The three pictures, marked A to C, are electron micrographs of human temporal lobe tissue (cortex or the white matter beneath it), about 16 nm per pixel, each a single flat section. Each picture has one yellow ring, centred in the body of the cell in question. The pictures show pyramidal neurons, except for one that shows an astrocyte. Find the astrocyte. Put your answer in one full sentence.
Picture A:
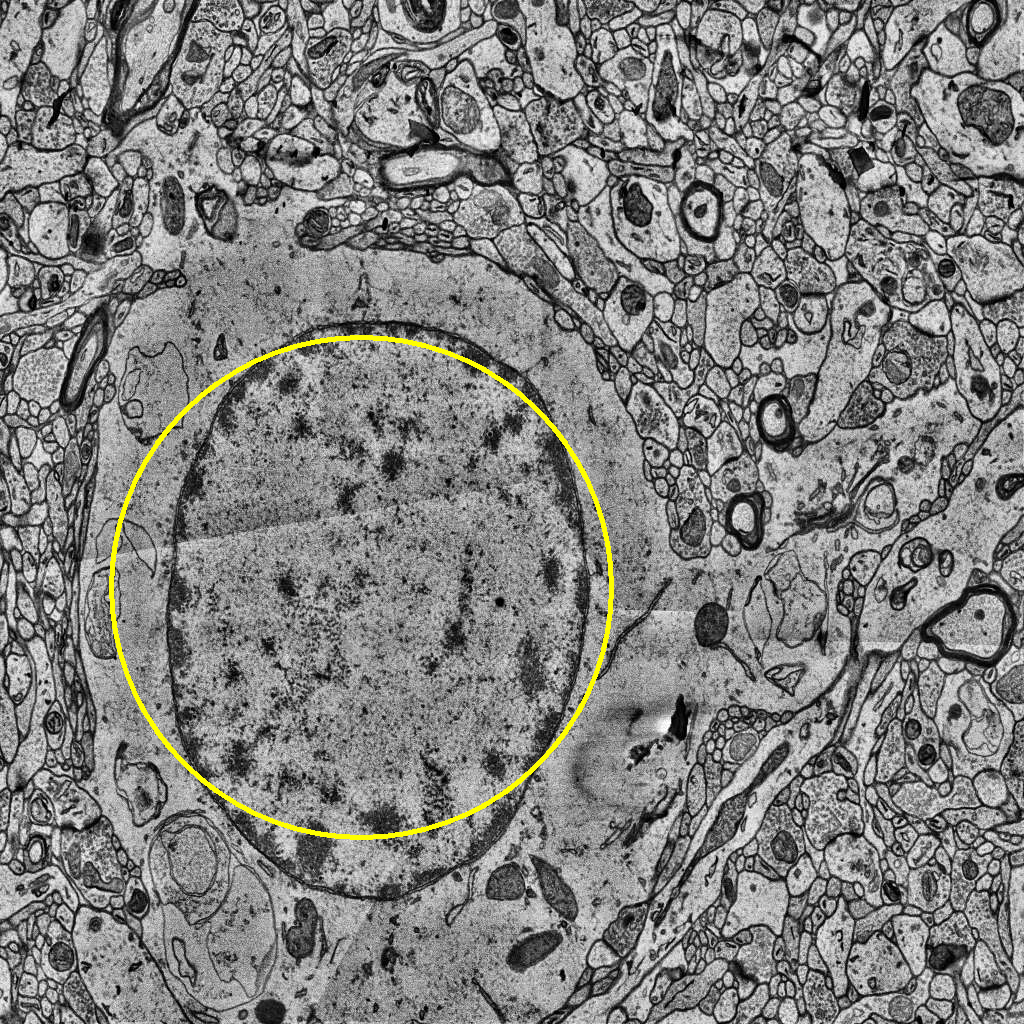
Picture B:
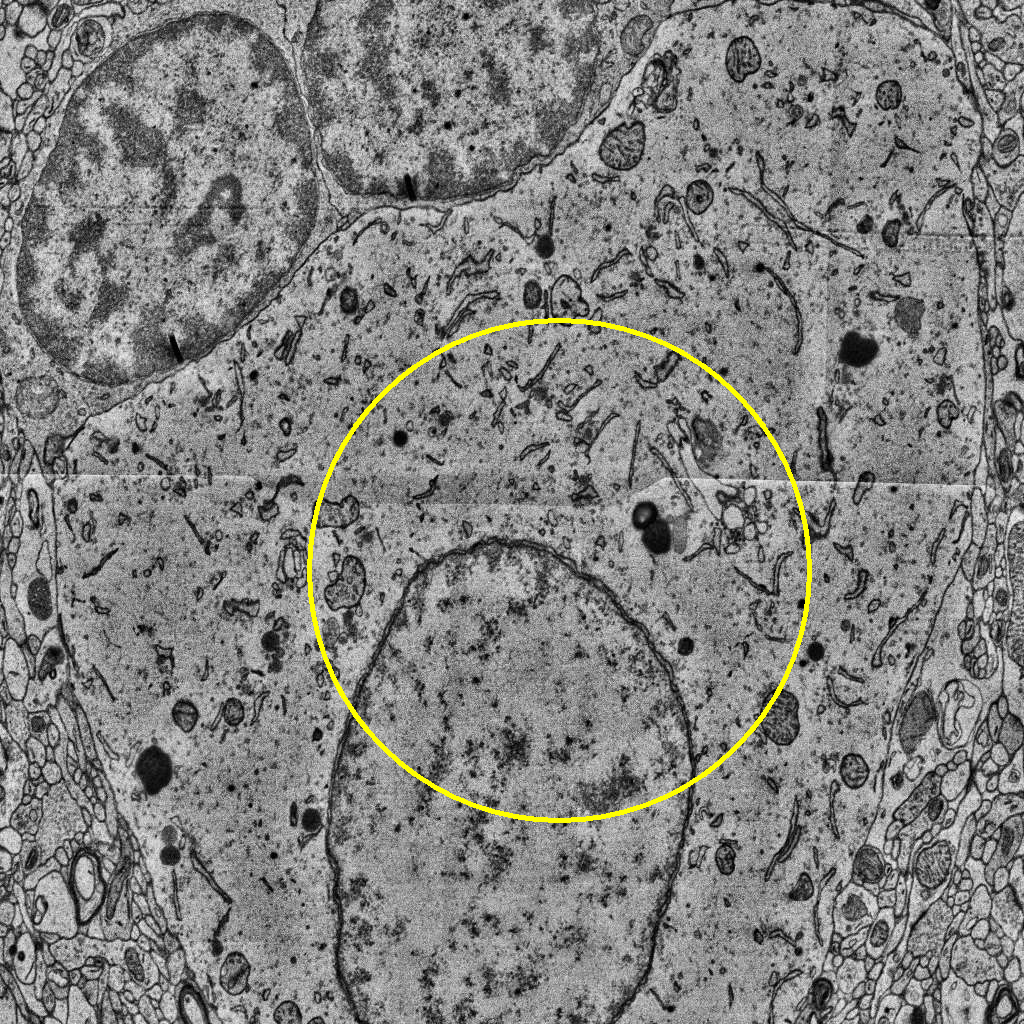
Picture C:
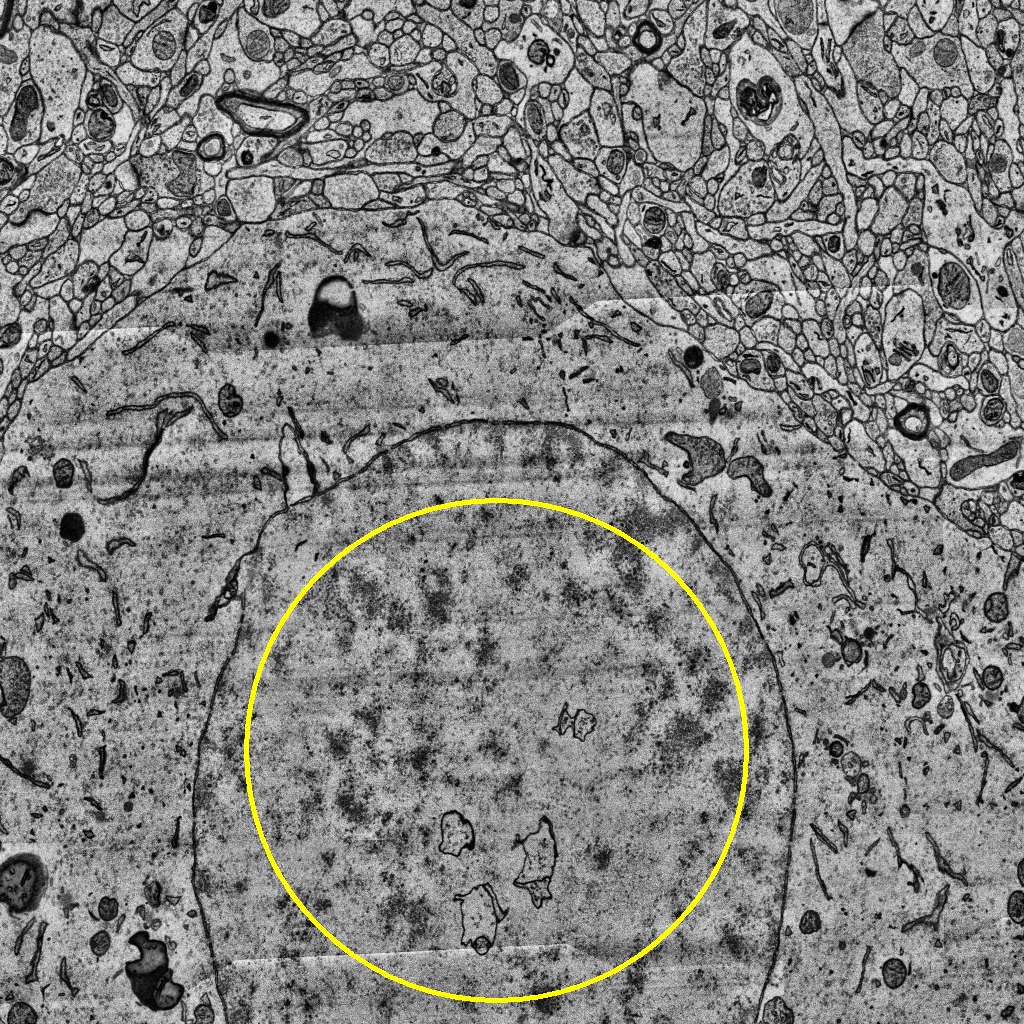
Picture A is the one that shows the astrocyte.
